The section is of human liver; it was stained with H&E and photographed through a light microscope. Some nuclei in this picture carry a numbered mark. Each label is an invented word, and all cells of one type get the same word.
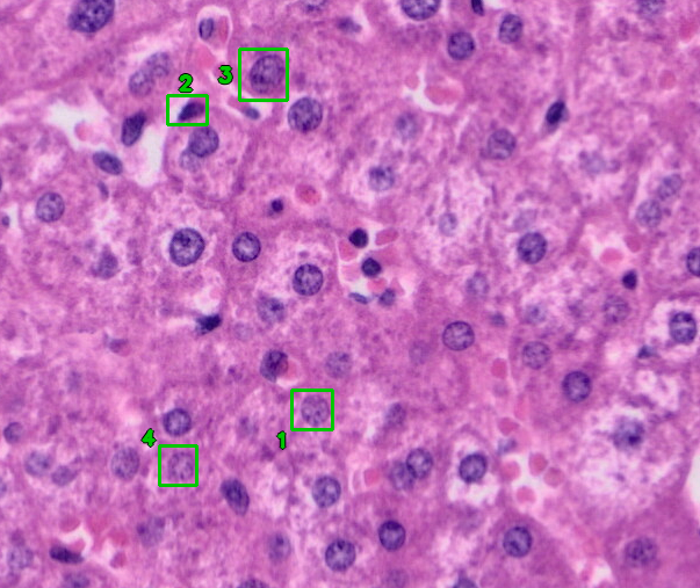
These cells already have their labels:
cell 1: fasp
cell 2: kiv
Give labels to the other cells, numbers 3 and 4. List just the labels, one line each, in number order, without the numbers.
fasp
fasp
